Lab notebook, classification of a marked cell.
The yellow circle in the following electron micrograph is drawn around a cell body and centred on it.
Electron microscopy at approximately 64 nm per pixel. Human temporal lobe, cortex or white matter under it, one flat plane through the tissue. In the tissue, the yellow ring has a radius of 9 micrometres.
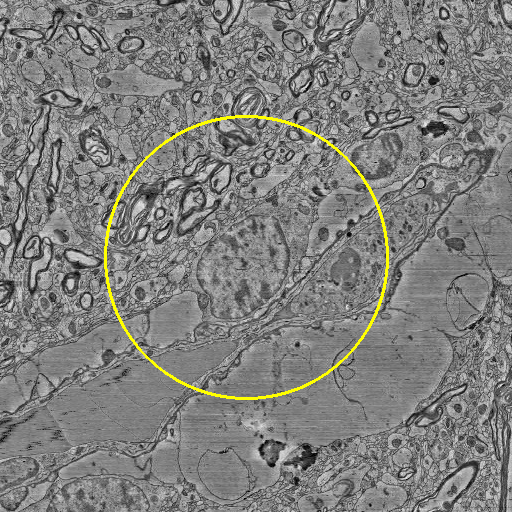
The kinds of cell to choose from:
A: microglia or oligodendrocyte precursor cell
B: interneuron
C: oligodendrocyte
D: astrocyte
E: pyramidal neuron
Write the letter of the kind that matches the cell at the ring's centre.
C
